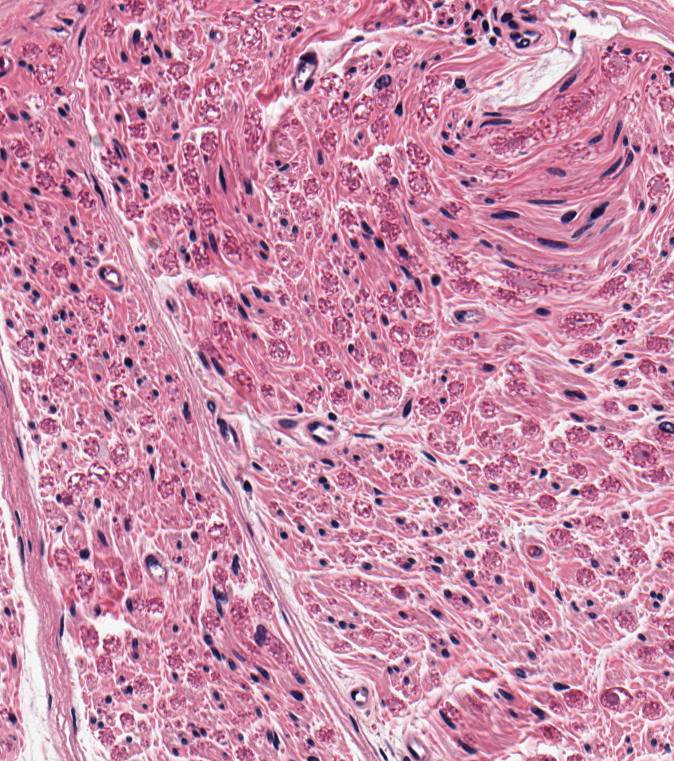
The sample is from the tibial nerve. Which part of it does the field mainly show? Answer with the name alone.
nerve fascicle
